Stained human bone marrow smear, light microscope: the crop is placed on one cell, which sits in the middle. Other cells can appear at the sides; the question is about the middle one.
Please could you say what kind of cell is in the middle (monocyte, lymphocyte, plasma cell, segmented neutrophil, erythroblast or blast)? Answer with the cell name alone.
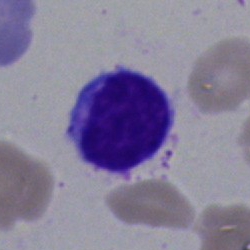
lymphocyte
